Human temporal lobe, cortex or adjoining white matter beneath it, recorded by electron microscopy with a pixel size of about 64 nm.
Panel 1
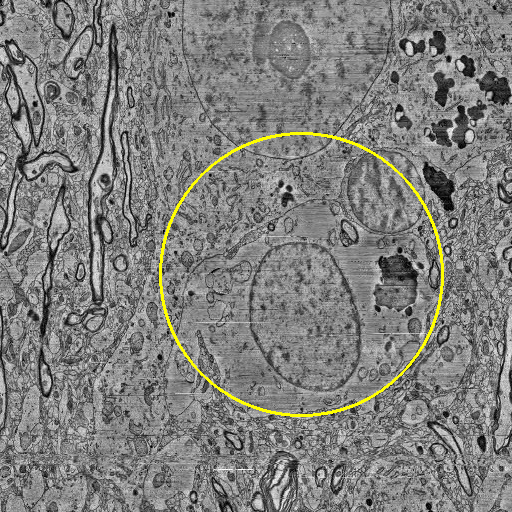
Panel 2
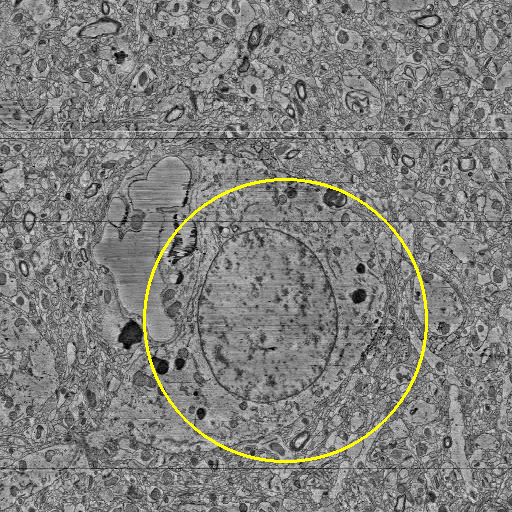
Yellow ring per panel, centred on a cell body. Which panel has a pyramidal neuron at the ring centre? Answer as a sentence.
Panel 2 shows it at the ring centre.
